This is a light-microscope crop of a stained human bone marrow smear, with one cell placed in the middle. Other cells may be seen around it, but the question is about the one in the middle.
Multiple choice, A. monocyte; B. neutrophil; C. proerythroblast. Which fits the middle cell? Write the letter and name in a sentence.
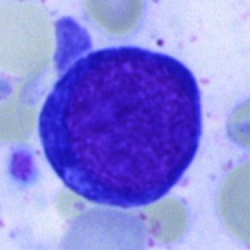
In this crop the middle cell is a proerythroblast, so option C is the correct answer.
